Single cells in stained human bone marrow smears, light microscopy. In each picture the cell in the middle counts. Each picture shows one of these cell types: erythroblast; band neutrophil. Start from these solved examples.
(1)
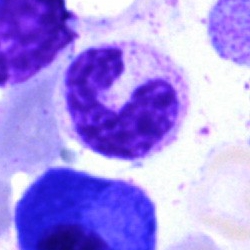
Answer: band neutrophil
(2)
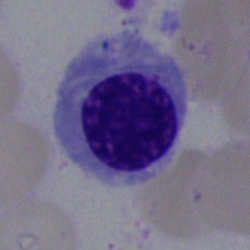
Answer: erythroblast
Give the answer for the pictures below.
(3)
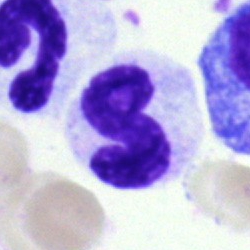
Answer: band neutrophil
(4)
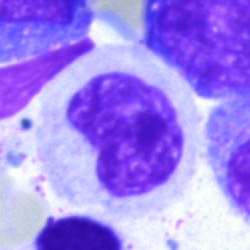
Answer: band neutrophil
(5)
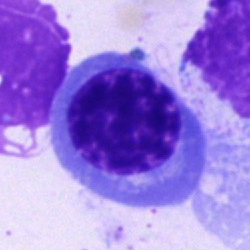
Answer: erythroblast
